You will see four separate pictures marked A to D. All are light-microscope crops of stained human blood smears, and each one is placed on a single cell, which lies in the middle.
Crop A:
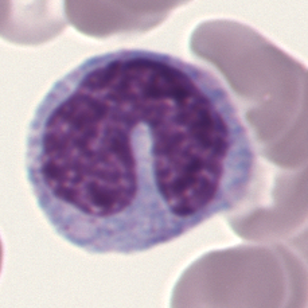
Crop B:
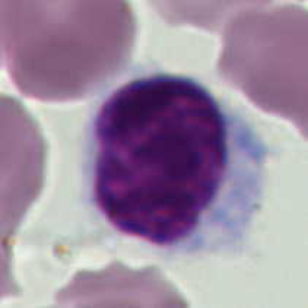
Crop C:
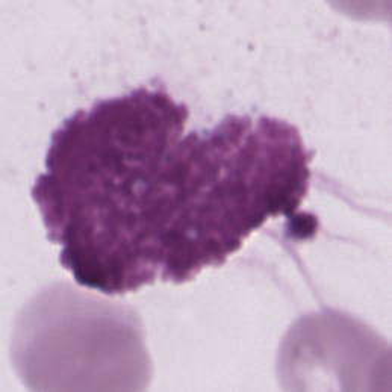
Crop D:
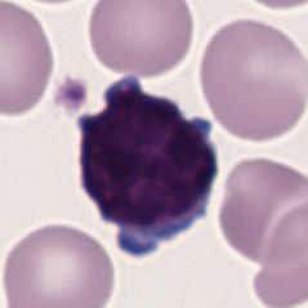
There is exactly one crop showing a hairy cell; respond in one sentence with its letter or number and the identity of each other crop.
What crop B shows is a hairy cell, while crop A is a monocyte, crop C is a smudge cell and crop D is a typical lymphocyte.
